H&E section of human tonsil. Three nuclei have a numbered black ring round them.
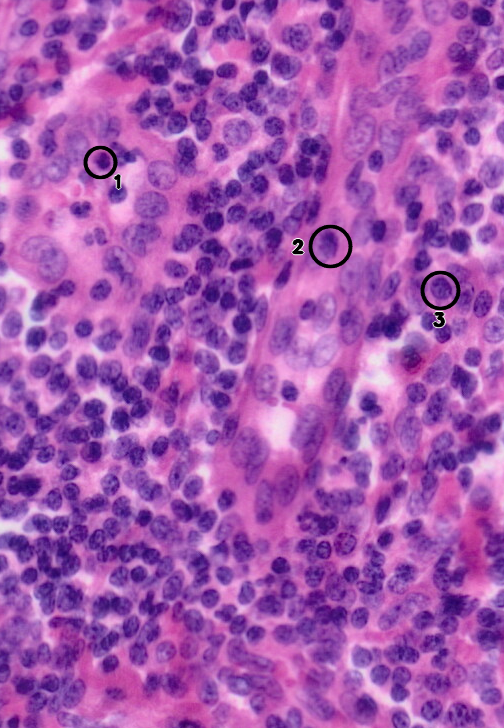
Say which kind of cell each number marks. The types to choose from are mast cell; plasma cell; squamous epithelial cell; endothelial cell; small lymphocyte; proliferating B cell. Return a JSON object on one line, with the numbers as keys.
{"1": "endothelial cell", "2": "endothelial cell", "3": "plasma cell"}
